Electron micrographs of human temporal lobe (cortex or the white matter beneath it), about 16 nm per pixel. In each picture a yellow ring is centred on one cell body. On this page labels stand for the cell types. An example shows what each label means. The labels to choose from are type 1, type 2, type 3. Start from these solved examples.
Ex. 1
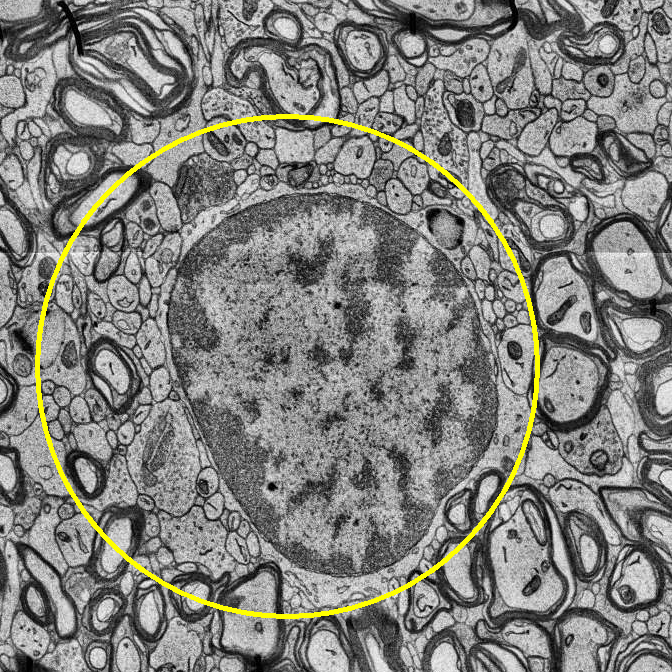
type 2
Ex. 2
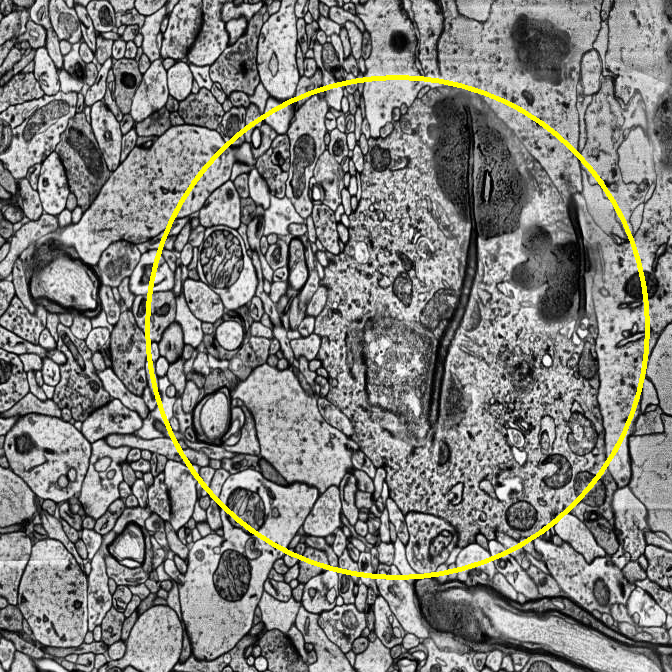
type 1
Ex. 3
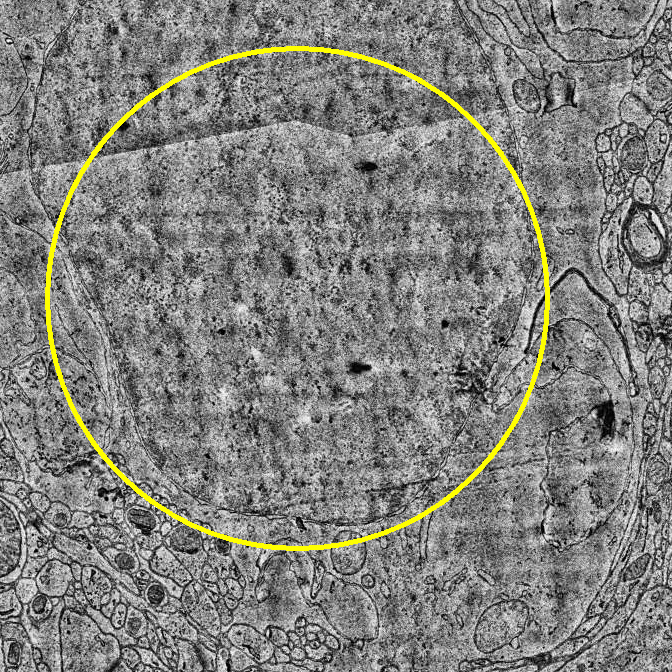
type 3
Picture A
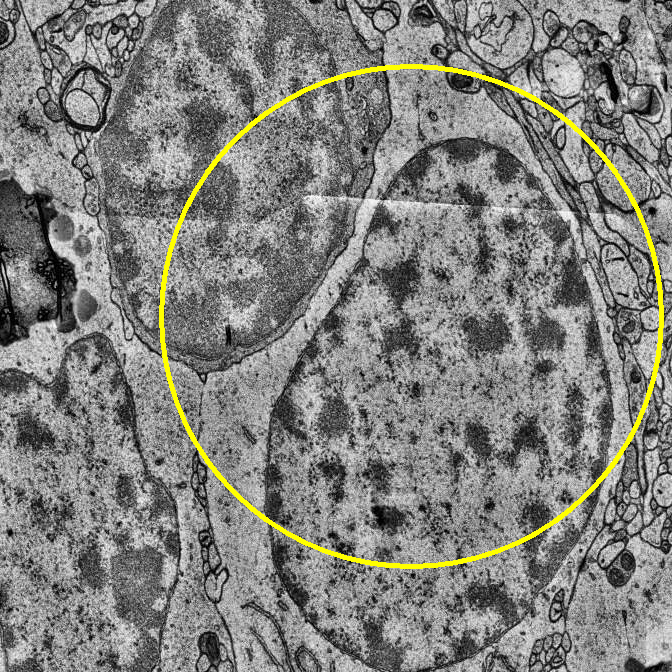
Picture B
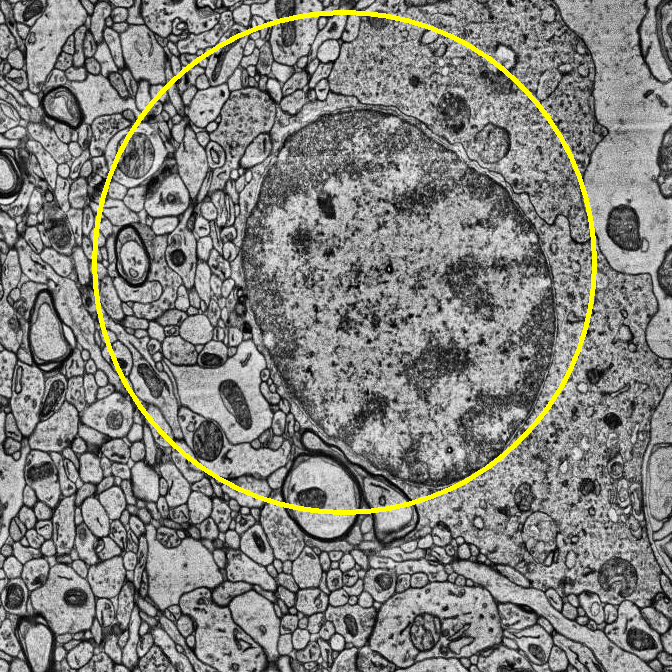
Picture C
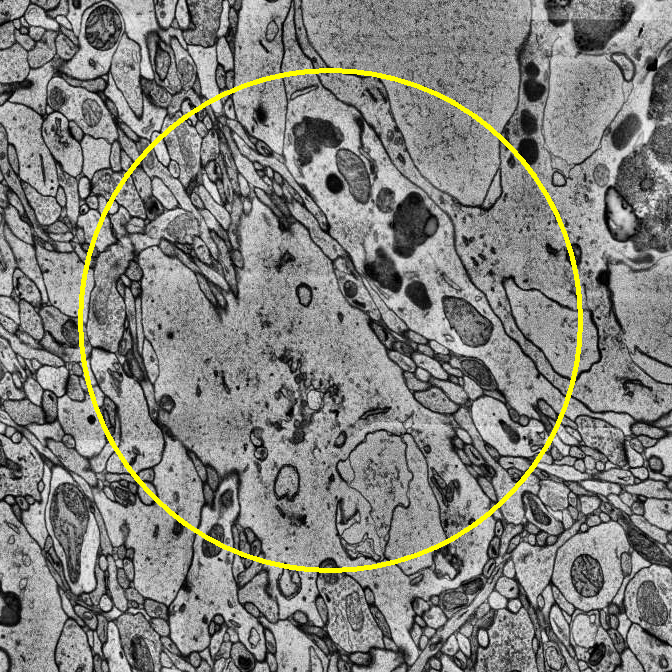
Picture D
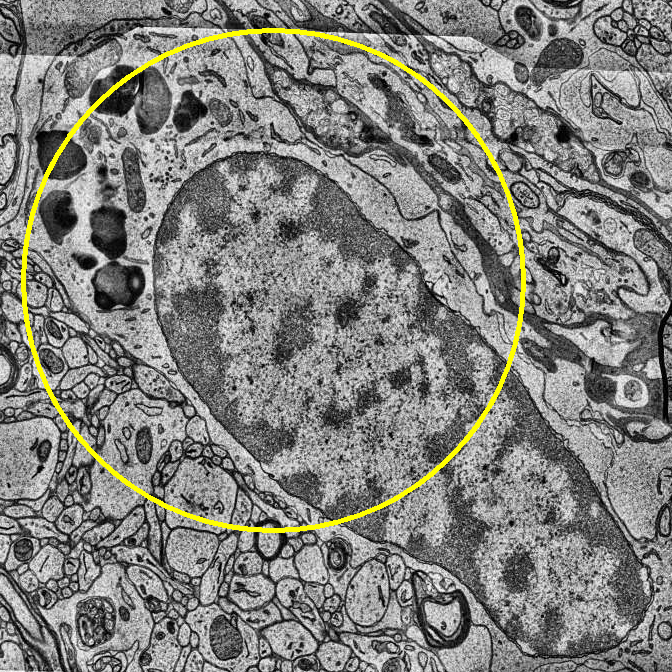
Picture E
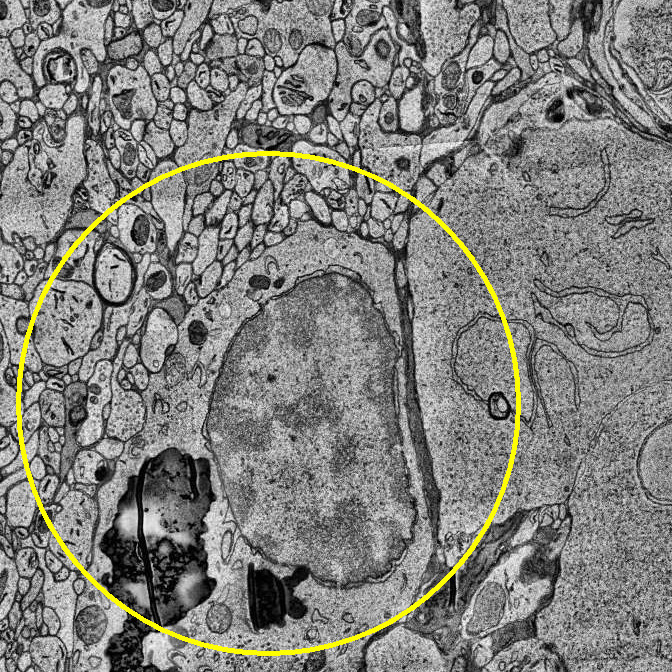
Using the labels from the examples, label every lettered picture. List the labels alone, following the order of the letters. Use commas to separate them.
type 3, type 1, type 3, type 2, type 1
